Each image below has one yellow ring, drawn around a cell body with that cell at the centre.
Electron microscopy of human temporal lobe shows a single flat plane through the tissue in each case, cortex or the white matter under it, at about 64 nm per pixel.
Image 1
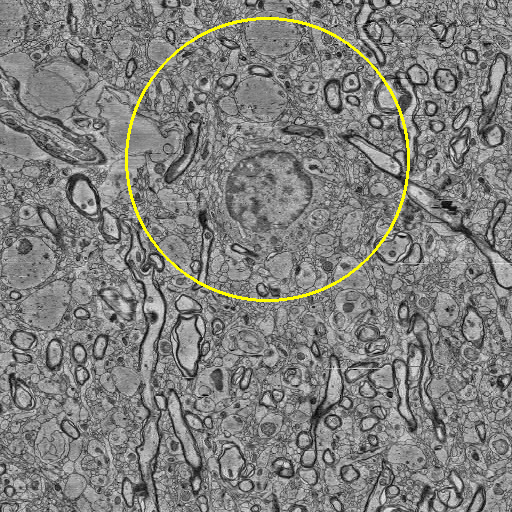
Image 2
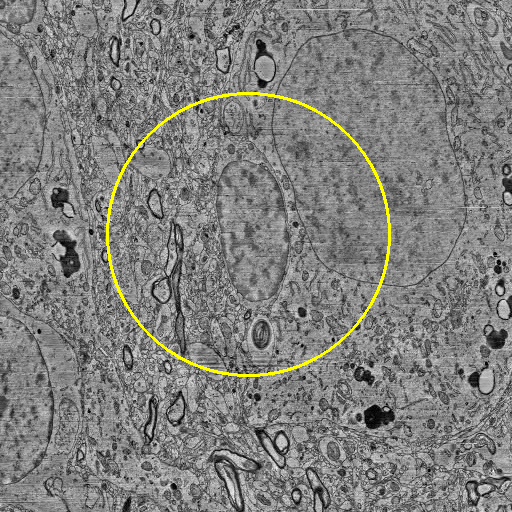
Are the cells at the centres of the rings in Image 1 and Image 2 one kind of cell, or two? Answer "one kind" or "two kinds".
one kind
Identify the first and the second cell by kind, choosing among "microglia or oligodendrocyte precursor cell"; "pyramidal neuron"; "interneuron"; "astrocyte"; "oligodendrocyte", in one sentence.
In both pictures the ring is centred on an oligodendrocyte.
